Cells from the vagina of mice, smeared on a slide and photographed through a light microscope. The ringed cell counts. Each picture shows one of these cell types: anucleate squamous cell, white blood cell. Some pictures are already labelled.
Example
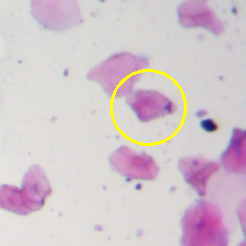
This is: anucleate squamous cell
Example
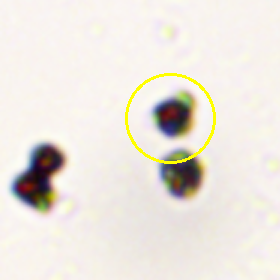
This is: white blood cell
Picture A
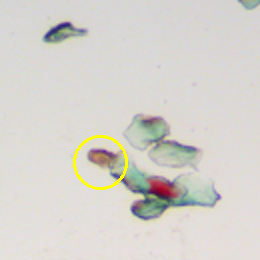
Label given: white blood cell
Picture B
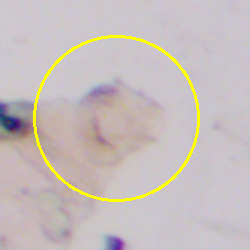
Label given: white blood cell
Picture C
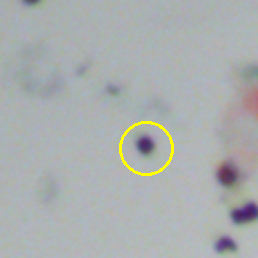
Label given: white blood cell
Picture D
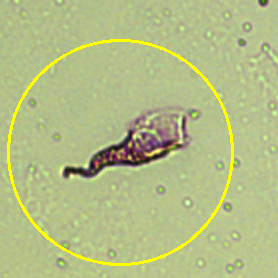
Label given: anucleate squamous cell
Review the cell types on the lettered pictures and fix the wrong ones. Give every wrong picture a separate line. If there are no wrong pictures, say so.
A is labelled white blood cell; correct label: anucleate squamous cell
B is labelled white blood cell; correct label: anucleate squamous cell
